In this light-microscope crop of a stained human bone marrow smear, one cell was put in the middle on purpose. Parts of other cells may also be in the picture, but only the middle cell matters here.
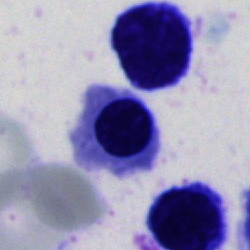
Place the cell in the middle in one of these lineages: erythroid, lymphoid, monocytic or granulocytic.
erythroid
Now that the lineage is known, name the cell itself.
erythroblast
